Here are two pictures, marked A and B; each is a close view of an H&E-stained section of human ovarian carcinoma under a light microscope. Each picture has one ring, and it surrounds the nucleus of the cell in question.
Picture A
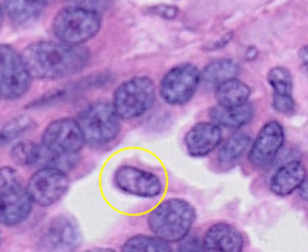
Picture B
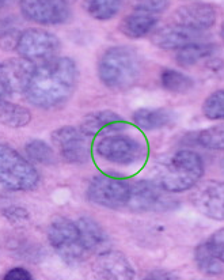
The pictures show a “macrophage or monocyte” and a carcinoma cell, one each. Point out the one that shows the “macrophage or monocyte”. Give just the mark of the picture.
A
